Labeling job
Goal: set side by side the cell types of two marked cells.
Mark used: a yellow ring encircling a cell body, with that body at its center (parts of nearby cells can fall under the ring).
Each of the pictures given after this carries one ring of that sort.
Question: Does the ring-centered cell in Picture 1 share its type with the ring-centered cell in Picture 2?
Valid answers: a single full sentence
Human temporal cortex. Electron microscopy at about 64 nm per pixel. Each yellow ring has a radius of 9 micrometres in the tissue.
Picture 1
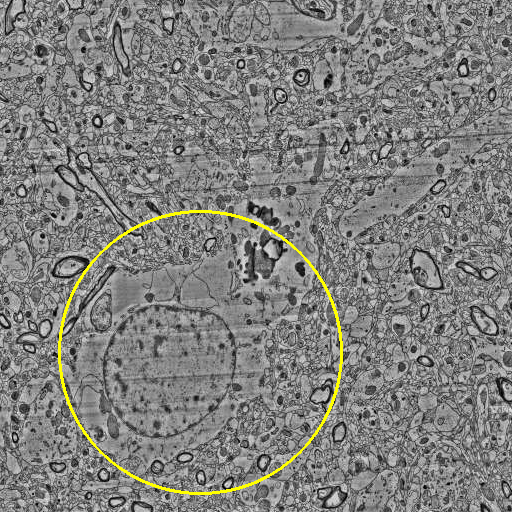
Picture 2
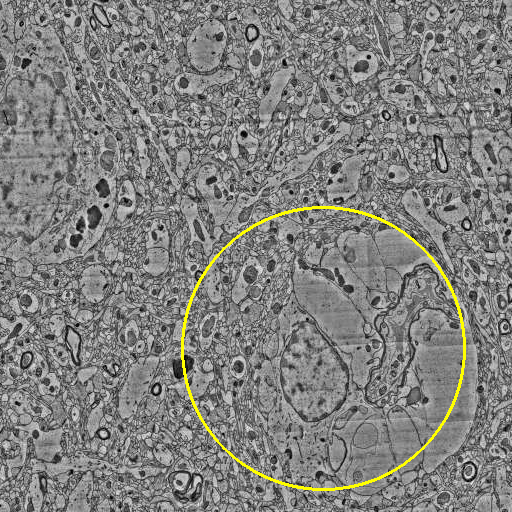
No, in Pictures 1 and 2 the cells at the ring centers have separate types.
